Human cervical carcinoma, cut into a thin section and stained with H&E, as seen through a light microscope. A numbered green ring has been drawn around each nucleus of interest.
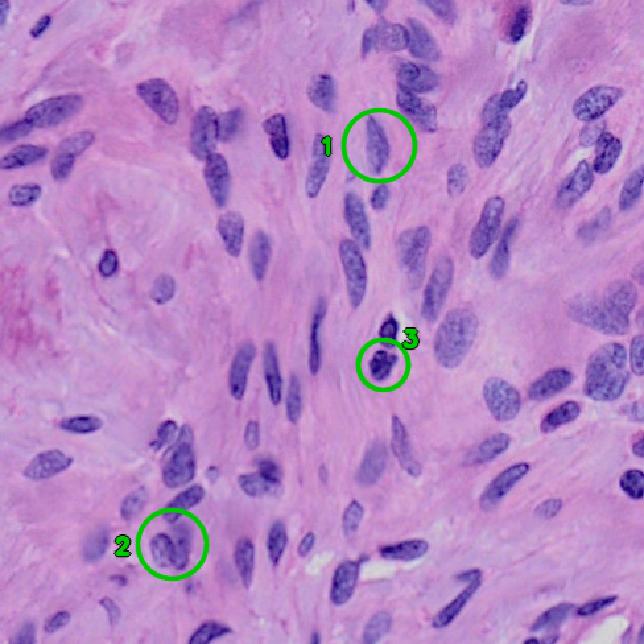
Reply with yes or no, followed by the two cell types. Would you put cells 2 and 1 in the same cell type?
Yes, just like cell 2, cell 1 is one of the fibroblasts.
